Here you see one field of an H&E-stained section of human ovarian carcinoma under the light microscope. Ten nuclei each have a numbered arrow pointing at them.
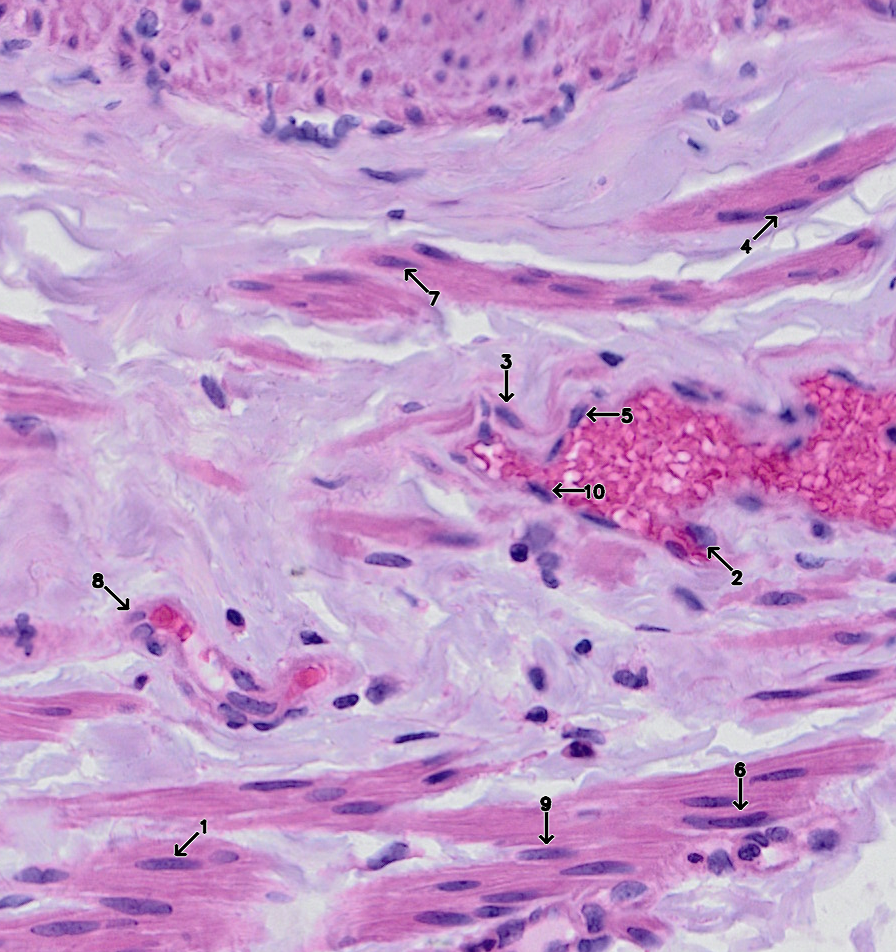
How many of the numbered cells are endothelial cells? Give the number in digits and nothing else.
4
